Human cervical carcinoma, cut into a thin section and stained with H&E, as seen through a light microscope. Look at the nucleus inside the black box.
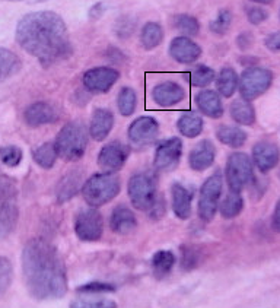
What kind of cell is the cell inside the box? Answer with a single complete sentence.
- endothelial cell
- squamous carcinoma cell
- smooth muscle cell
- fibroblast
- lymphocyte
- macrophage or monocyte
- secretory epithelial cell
Within this tissue, the cell inside the box is a secretory epithelial cell.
